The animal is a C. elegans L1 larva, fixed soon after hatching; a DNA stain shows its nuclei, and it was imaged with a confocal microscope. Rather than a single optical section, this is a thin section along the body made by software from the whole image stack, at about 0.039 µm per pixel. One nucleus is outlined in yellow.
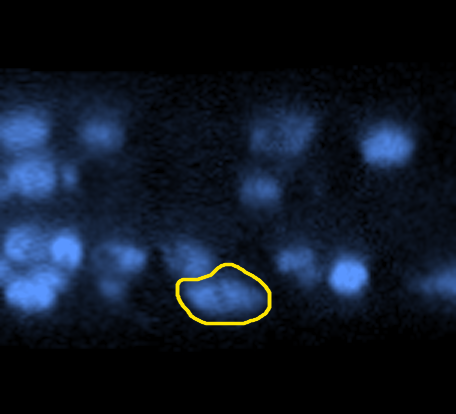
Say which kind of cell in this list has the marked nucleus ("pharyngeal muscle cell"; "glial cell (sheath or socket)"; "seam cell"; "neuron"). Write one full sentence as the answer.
The marked cell is a seam cell.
